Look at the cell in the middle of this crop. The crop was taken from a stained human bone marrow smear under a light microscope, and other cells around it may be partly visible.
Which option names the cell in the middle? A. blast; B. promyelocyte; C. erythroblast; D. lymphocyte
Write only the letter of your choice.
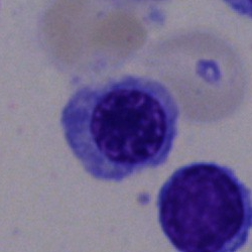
C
